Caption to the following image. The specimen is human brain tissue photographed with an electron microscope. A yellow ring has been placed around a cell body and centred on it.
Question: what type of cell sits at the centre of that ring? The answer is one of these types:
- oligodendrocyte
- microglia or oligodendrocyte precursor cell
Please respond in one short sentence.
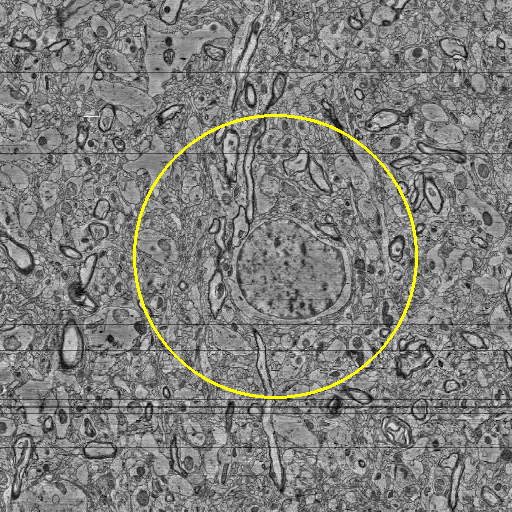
The ring surrounds the cell body of a microglial cell or oligodendrocyte precursor cell.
